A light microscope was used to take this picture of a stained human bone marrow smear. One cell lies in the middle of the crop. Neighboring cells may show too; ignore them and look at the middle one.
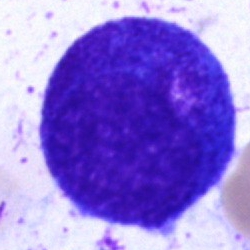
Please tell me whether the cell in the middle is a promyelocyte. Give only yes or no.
yes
